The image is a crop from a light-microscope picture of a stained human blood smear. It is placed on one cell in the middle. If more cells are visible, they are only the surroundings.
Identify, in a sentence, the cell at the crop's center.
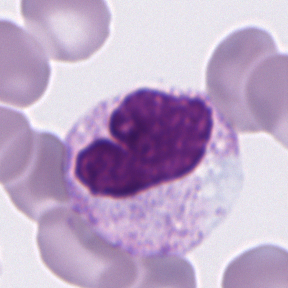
In this crop, the cell at the very middle is a band neutrophil.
